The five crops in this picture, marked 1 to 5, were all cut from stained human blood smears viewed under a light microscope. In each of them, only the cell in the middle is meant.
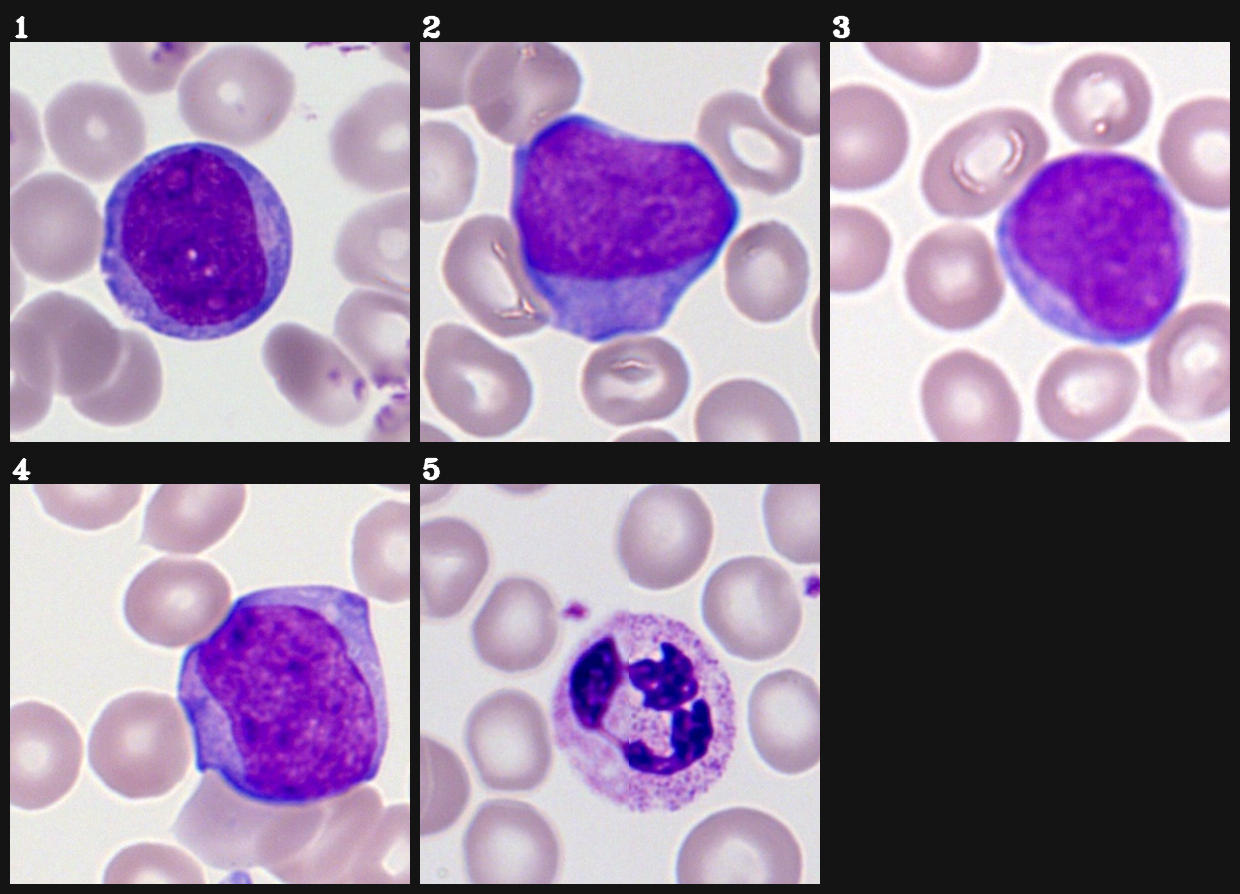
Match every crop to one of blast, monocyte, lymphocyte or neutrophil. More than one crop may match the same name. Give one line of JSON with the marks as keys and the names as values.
{"1": "blast", "2": "blast", "3": "blast", "4": "blast", "5": "neutrophil"}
